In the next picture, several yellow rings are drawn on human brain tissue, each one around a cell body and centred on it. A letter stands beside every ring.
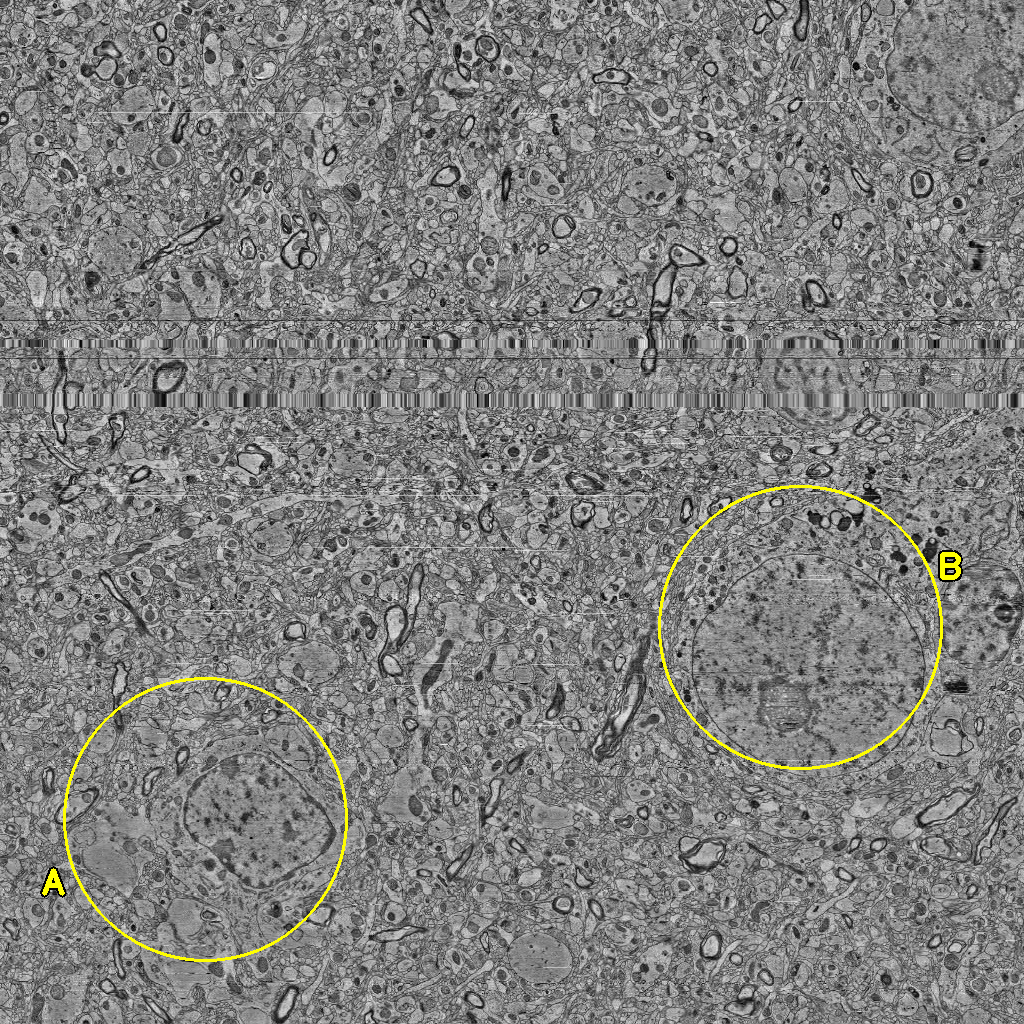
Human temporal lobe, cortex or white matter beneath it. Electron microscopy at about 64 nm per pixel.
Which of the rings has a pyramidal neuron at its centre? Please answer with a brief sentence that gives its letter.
Ring B has it at its centre.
